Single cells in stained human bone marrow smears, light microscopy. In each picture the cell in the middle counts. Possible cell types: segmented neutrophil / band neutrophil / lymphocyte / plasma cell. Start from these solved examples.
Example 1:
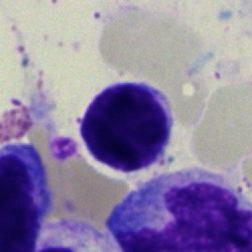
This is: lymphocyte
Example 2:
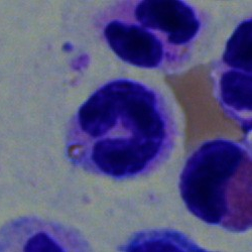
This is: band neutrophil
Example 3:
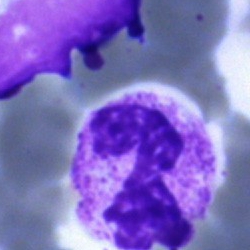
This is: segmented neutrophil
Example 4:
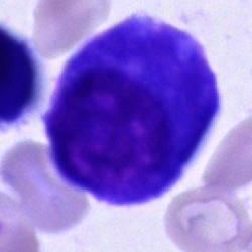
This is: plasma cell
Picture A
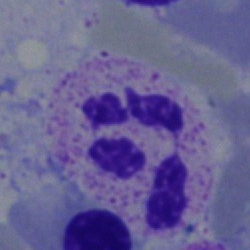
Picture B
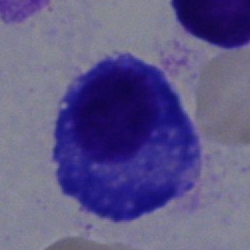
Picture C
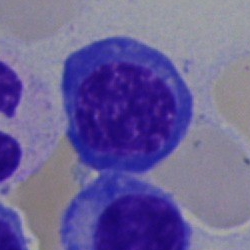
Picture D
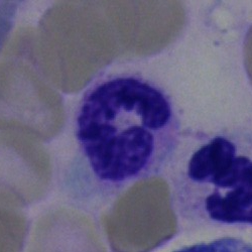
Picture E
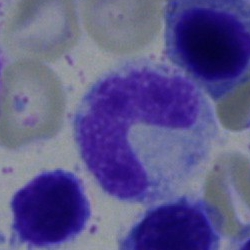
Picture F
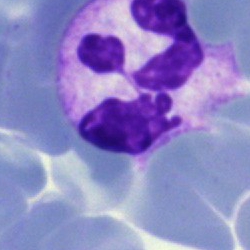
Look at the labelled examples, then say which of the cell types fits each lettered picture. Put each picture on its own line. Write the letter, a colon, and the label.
A: segmented neutrophil
B: plasma cell
C: plasma cell
D: segmented neutrophil
E: band neutrophil
F: segmented neutrophil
